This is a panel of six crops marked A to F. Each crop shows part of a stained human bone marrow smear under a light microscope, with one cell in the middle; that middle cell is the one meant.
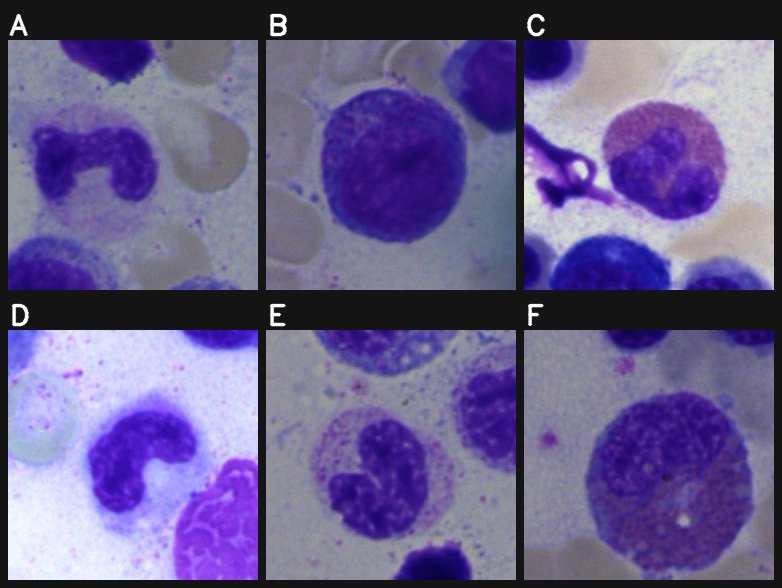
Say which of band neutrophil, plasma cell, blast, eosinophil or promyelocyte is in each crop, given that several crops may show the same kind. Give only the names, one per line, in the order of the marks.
band neutrophil
promyelocyte
eosinophil
band neutrophil
band neutrophil
eosinophil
